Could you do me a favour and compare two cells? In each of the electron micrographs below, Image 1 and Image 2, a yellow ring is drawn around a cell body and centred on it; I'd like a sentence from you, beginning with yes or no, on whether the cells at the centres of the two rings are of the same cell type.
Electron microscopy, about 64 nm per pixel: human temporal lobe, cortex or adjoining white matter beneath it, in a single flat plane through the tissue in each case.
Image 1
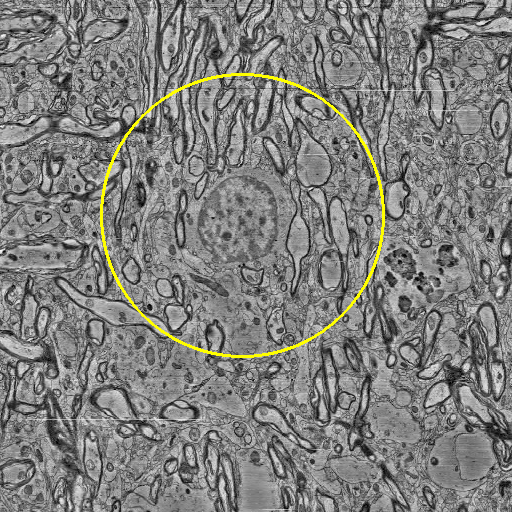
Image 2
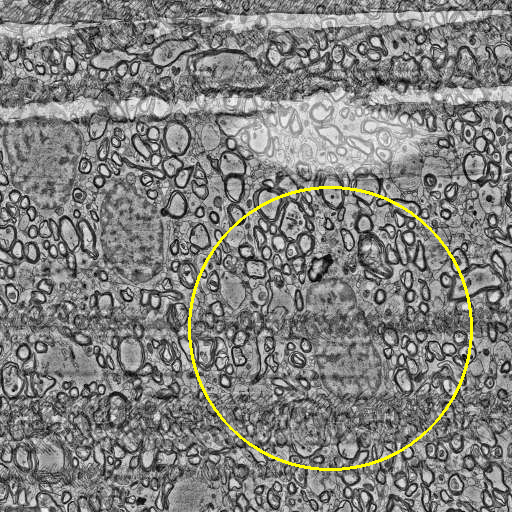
Yes, the two cells are of the same cell type.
